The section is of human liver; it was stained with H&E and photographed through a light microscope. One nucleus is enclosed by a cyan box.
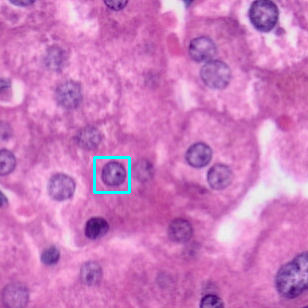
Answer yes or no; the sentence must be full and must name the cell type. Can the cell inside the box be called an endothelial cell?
No, rather than being an endothelial cell, the cell inside the box is a hepatocyte.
